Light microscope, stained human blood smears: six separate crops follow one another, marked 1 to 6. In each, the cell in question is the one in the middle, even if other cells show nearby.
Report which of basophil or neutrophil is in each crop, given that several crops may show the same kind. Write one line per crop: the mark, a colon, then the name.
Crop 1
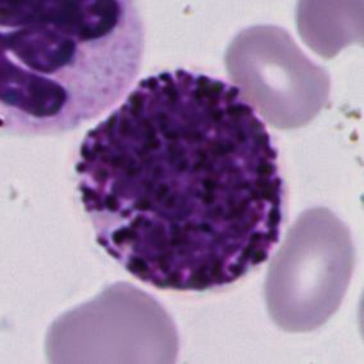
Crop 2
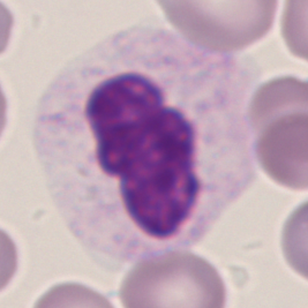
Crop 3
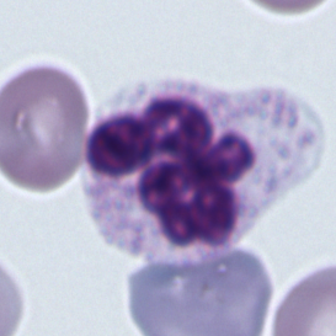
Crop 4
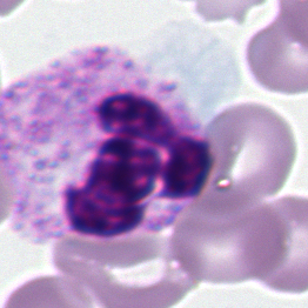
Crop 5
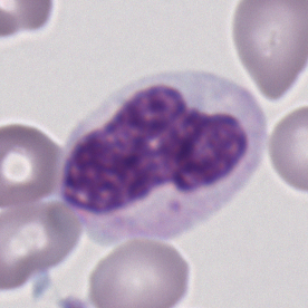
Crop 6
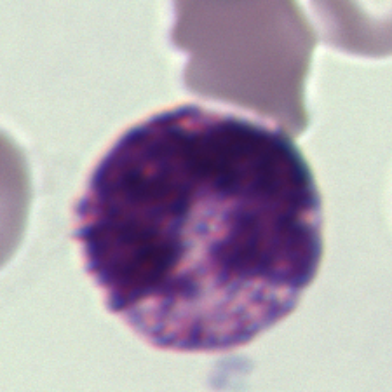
1: basophil
2: neutrophil
3: neutrophil
4: neutrophil
5: neutrophil
6: basophil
